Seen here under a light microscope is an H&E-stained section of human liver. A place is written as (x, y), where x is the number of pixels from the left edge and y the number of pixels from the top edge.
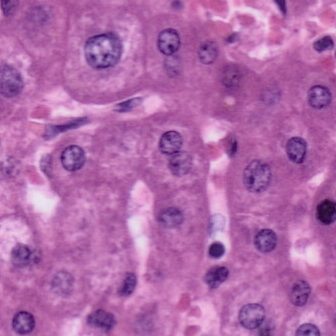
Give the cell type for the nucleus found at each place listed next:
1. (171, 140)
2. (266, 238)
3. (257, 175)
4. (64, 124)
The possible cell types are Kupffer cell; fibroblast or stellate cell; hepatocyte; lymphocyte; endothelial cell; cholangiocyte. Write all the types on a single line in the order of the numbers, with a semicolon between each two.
hepatocyte; hepatocyte; hepatocyte; Kupffer cell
